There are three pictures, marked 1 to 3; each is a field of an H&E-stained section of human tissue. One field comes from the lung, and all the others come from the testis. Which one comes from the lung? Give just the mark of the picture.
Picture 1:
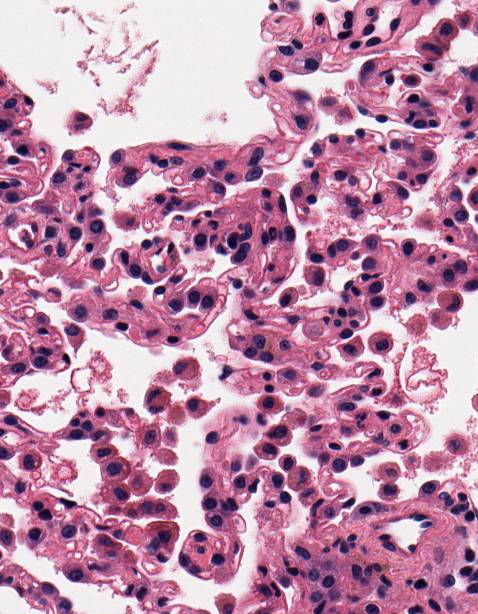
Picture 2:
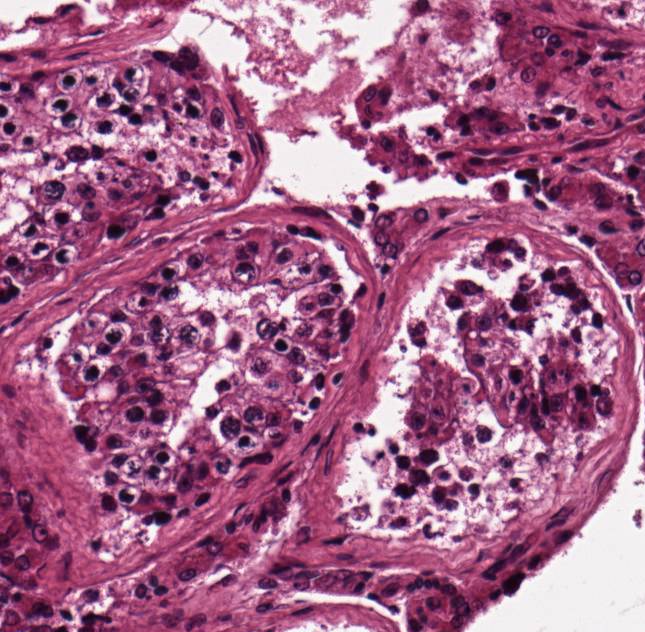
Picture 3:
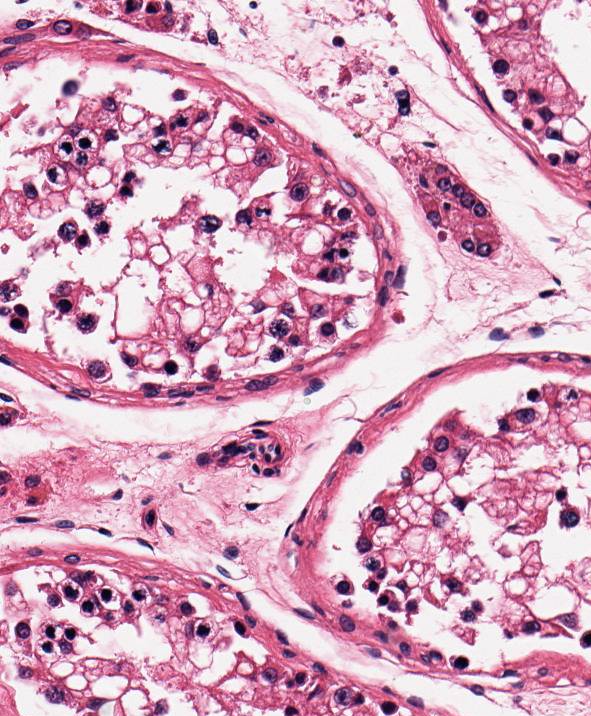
1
